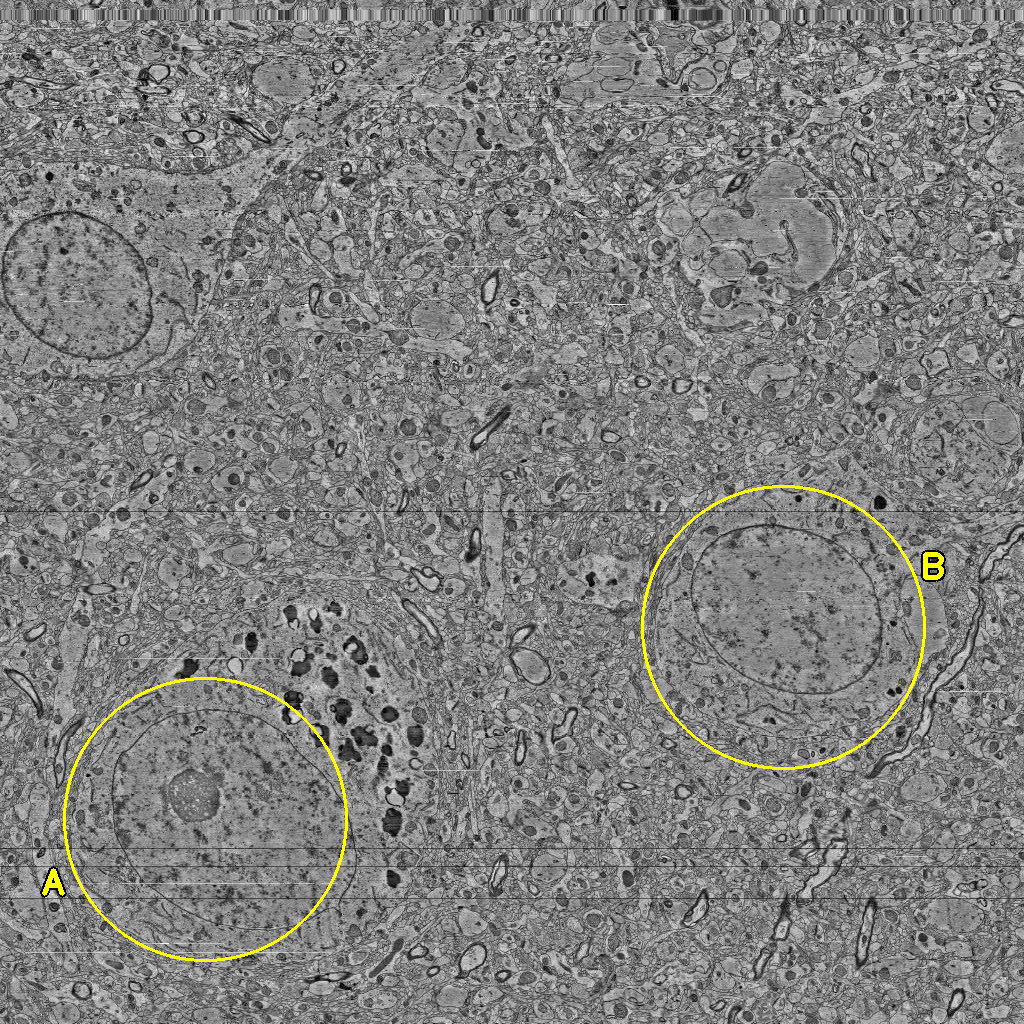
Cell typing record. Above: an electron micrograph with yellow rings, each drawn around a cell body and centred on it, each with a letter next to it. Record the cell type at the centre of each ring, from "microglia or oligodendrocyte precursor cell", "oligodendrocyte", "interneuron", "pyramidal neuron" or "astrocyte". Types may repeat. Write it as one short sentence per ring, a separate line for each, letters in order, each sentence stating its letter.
Ring A circles a pyramidal neuron.
Ring B circles a pyramidal neuron.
